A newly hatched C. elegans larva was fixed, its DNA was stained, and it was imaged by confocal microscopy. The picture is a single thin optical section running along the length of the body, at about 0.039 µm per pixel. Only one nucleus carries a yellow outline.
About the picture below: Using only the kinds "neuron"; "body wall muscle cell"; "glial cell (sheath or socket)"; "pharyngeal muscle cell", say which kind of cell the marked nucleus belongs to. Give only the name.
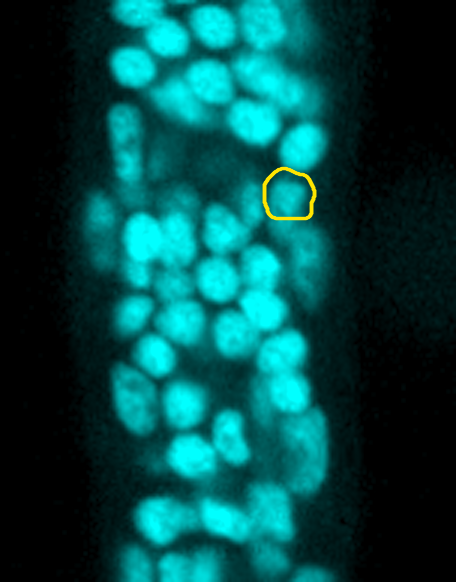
body wall muscle cell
